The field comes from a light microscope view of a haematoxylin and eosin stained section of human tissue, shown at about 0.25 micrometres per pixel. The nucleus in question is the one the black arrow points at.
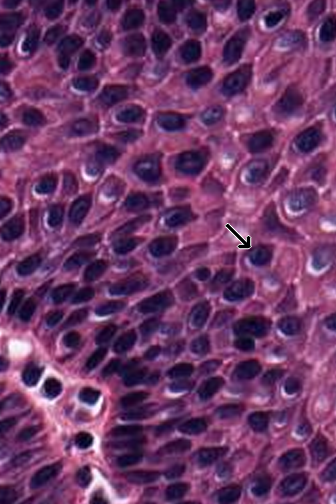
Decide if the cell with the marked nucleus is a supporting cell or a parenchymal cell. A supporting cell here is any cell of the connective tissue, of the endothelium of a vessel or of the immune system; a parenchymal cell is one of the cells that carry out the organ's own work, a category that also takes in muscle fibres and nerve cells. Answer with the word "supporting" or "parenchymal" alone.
parenchymal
